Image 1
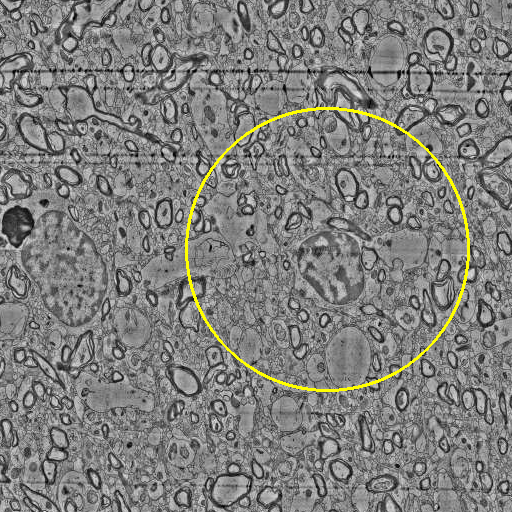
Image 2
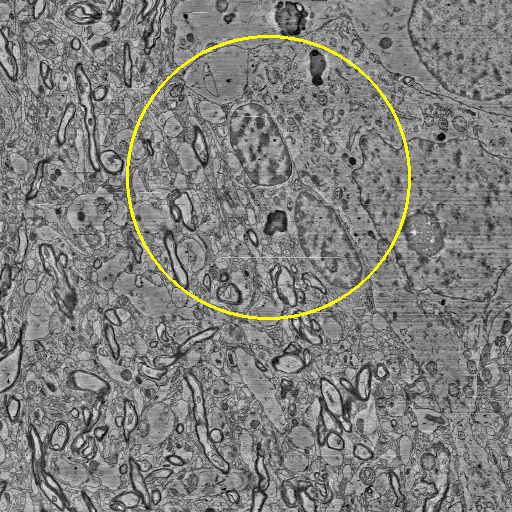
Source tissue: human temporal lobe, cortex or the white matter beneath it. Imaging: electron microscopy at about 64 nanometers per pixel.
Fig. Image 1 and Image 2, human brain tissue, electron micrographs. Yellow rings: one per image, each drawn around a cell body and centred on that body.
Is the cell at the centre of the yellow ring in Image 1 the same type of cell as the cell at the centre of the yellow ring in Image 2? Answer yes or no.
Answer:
yes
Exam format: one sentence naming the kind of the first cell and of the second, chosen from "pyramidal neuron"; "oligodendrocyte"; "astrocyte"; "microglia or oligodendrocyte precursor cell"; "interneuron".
Each of the two rings is centred on a microglial cell or oligodendrocyte precursor cell.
